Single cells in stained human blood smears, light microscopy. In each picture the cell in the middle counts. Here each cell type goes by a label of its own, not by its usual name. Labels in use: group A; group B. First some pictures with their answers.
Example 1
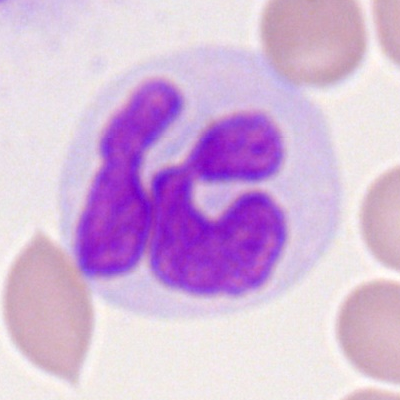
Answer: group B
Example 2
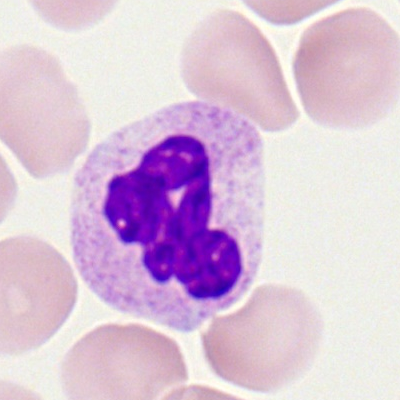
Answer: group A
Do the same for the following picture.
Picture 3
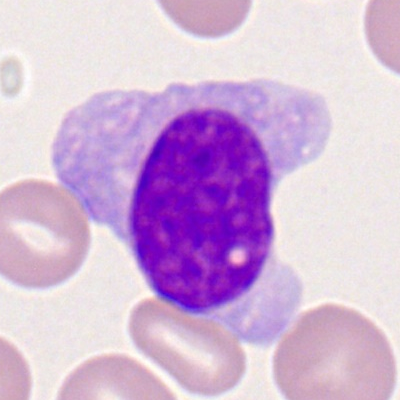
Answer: group B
